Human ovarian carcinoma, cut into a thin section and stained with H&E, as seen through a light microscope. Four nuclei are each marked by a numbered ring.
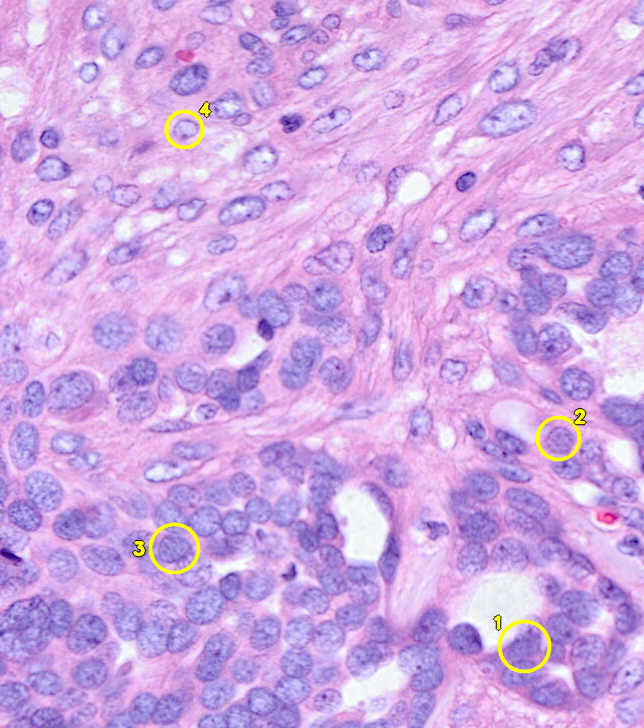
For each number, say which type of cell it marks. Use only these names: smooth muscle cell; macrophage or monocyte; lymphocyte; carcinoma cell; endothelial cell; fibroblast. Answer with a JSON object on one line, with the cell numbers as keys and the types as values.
{"1": "carcinoma cell", "2": "carcinoma cell", "3": "carcinoma cell", "4": "fibroblast"}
